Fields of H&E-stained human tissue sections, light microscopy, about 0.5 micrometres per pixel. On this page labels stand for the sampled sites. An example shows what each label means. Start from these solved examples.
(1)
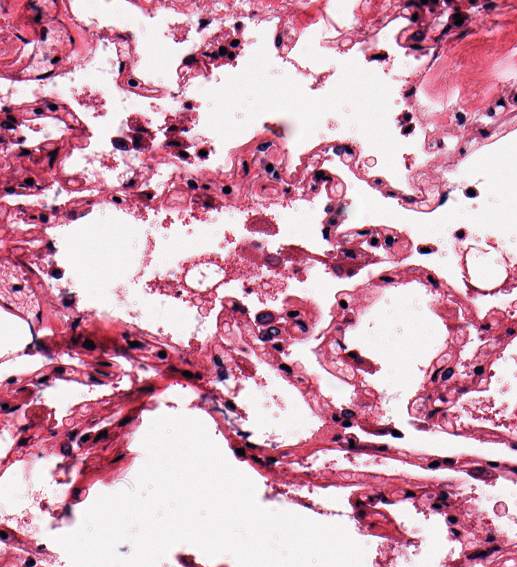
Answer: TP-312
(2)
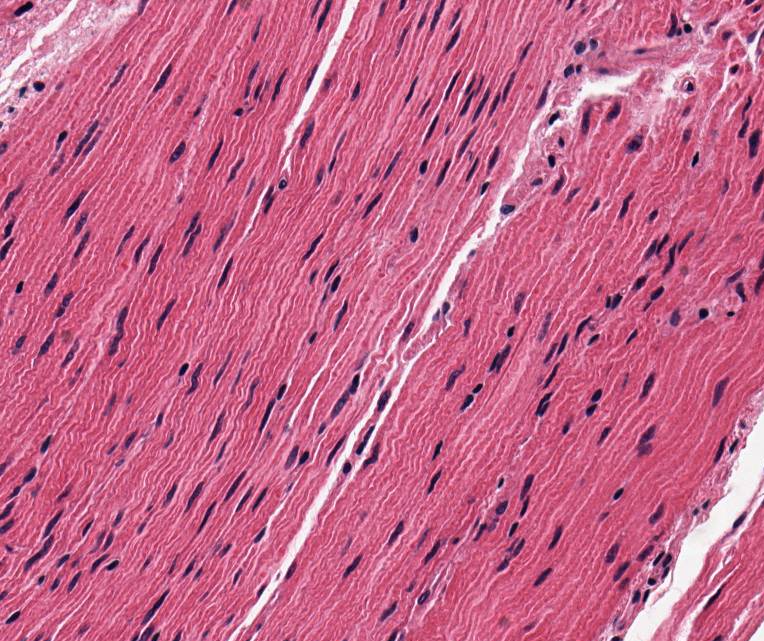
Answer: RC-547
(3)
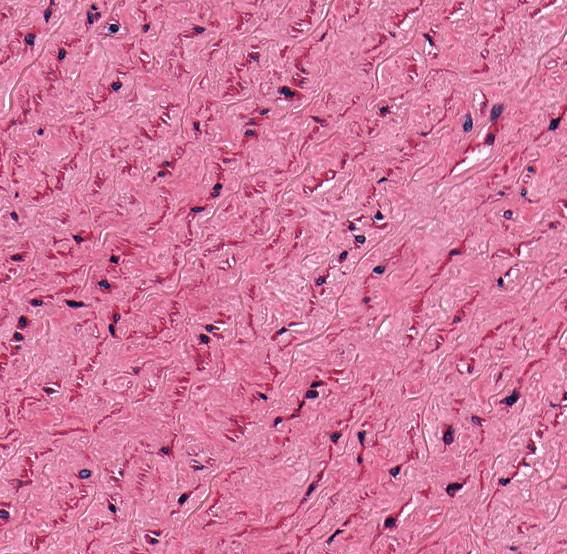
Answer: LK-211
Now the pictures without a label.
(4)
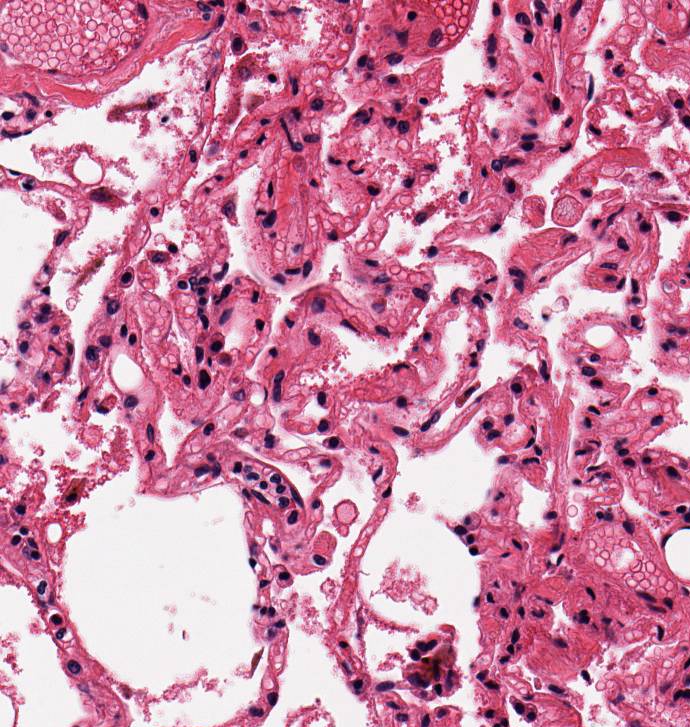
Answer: TP-312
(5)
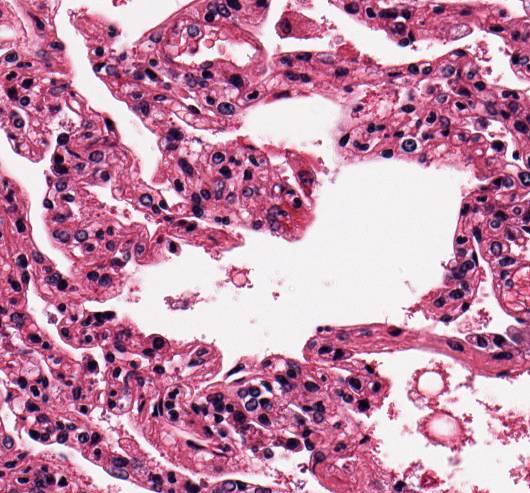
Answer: TP-312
